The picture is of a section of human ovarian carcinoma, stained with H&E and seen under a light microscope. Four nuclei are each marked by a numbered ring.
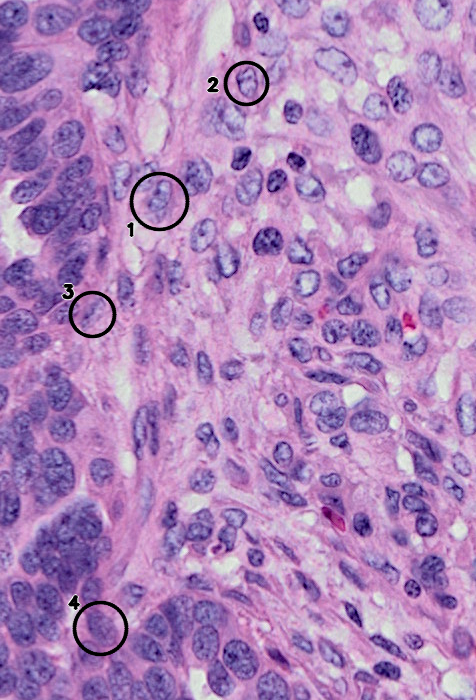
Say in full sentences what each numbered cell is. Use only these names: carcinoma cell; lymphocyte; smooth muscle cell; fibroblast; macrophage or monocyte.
Cell 1 is a fibroblast, cell 2 is a fibroblast, cell 3 is a fibroblast and cell 4 is a carcinoma cell.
